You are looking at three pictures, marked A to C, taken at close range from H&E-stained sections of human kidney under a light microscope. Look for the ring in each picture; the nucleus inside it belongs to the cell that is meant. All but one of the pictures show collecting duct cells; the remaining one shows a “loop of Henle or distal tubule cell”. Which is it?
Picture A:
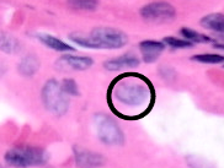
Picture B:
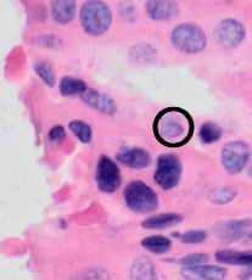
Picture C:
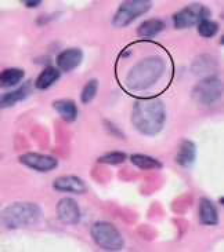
A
